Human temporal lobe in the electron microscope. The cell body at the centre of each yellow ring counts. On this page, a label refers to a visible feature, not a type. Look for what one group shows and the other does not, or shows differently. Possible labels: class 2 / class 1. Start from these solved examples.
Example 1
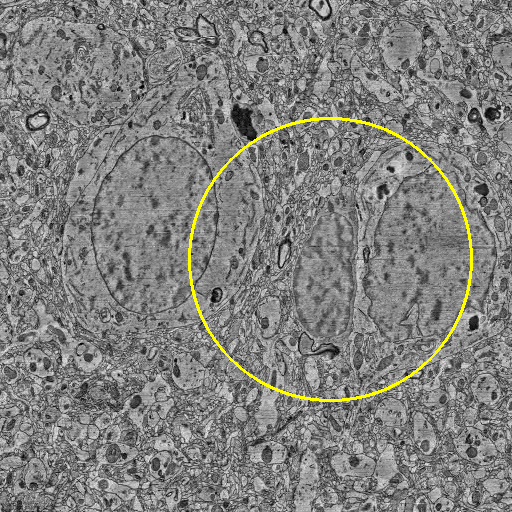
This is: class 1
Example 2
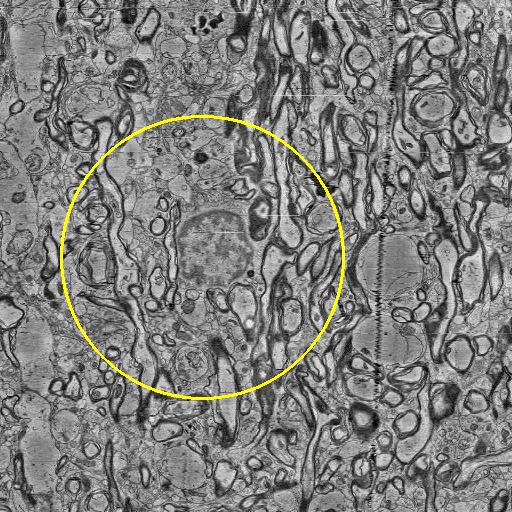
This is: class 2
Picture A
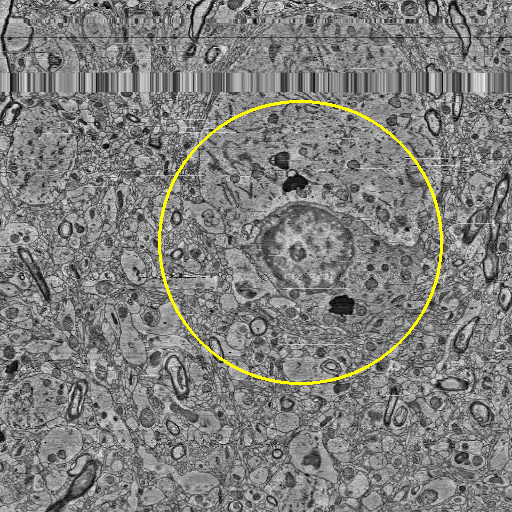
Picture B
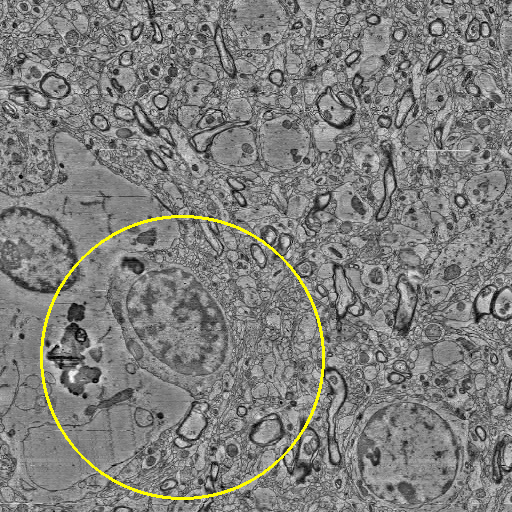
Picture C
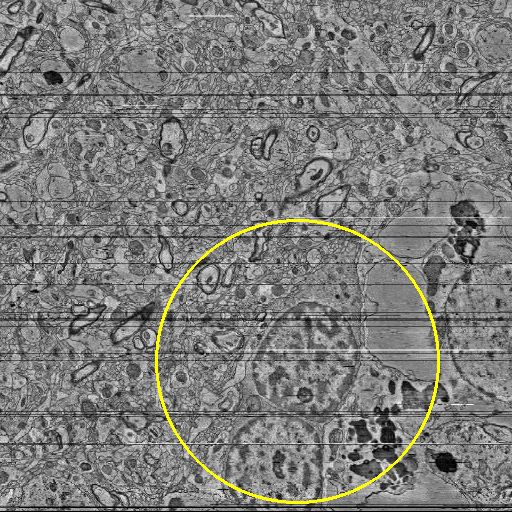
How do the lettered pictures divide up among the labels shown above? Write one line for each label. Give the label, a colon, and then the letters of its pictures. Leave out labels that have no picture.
class 2: A, C
class 1: B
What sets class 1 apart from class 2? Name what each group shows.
Seen in class 1: clearly elongated nuclei; seen in class 2: round or nearly round nuclei.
